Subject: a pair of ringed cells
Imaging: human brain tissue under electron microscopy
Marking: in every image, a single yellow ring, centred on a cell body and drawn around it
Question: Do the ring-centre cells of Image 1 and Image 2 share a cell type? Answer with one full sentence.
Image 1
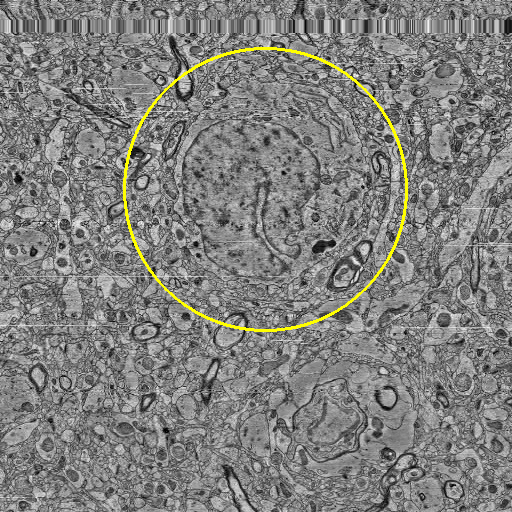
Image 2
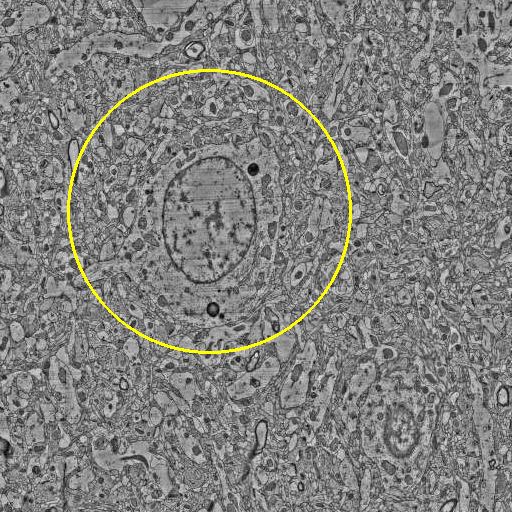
No, at the ring centres in the images sit cells of two separate types.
